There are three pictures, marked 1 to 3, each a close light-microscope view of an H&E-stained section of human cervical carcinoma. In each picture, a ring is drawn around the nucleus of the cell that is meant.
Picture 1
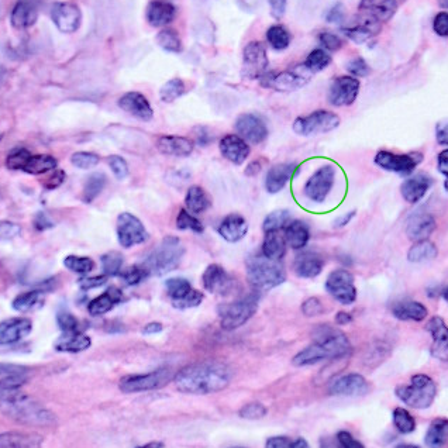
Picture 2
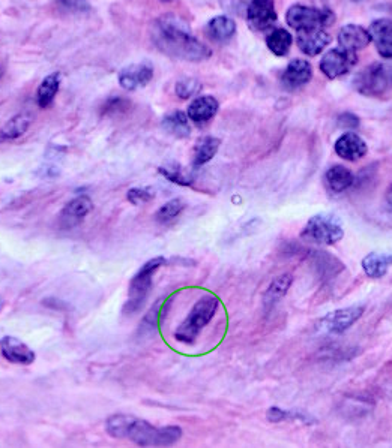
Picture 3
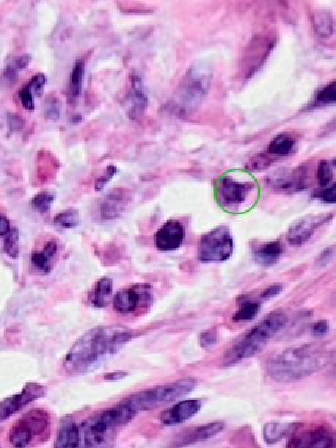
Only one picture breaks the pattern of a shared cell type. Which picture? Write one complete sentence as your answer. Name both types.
Picture 3 is the odd one out: it shows a “macrophage or monocyte”, while the others show lymphocytes.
